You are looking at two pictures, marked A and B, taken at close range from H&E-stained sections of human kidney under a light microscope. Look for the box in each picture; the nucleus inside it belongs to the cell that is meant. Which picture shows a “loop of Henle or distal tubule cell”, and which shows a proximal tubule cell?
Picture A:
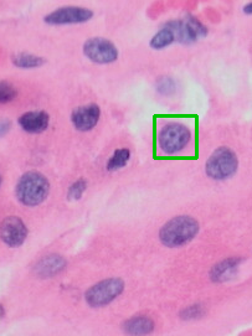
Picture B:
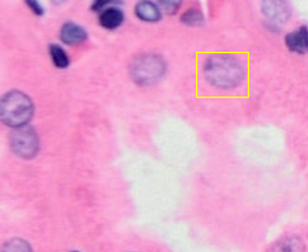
A: loop of Henle or distal tubule cell
B: proximal tubule cell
